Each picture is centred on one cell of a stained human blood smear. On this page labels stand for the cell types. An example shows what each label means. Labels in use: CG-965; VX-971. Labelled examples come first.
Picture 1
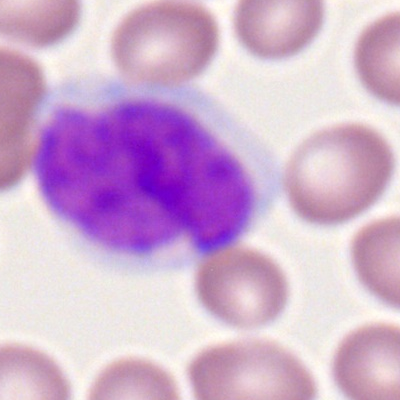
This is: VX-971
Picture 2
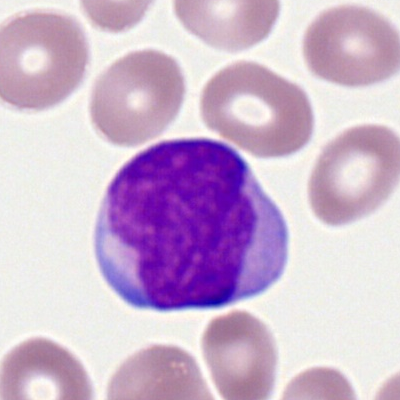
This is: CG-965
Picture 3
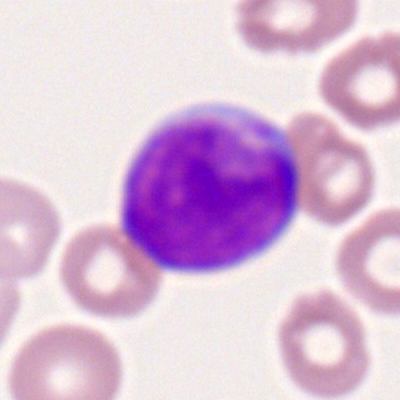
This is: CG-965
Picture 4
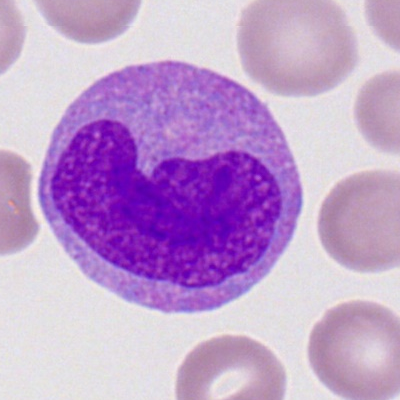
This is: VX-971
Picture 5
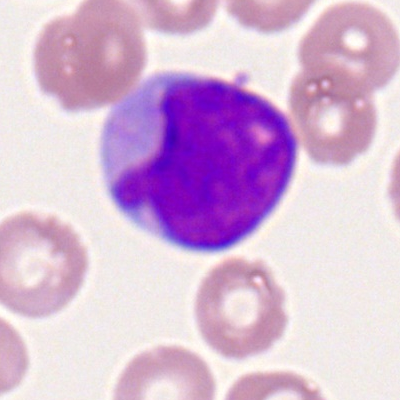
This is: CG-965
